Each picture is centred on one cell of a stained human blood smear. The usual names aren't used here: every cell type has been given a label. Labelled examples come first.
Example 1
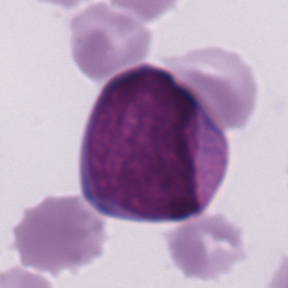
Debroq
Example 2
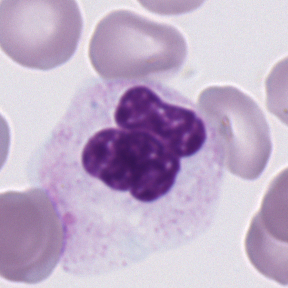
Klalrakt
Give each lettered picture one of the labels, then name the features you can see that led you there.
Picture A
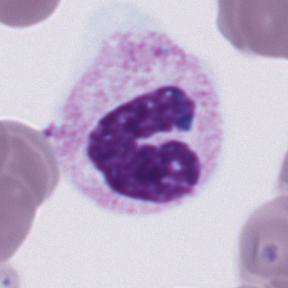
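Klalrakt. Evidence: The nucleus is bent into a C shape whose notch opens toward the right.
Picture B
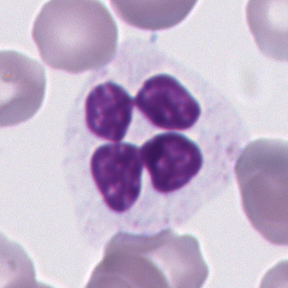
Klalrakt. Evidence: A wide rim of very pale, almost colourless cytoplasm surrounds the nuclear lobes.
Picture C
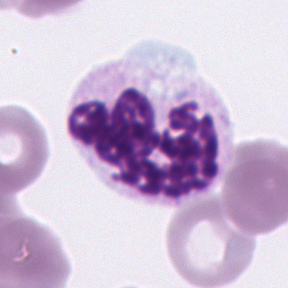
Klalrakt. Evidence: The nuclear lobes lie mainly in the lower half of the cell, leaving a wider band of cytoplasm at the top.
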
